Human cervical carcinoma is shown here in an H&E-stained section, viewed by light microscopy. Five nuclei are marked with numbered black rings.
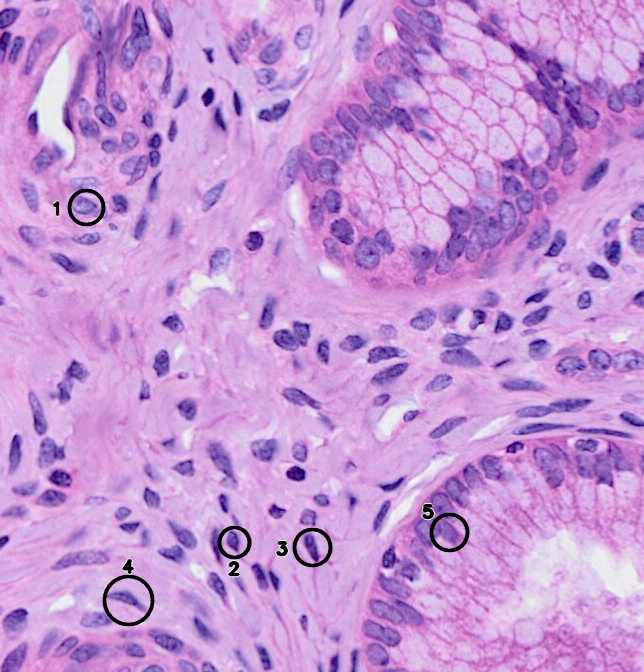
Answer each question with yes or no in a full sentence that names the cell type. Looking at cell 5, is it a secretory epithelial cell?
Yes, the cell at the mark numbered 5 is a secretory epithelial cell.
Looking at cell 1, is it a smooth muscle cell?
Yes, what number 1 marks is a smooth muscle cell.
